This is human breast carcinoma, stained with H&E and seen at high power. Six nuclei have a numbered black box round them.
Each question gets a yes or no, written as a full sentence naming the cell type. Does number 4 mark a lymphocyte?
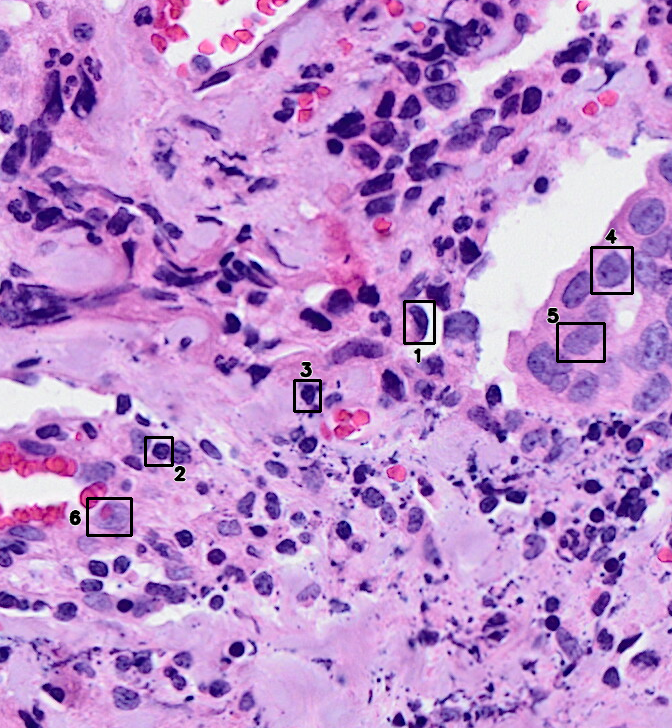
No, the cell given number 4 is a carcinoma cell, not a lymphocyte.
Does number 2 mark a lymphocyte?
Yes, the cell numbered 2 in this tissue is a lymphocyte.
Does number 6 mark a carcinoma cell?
No, cell 6 is an endothelial cell; it is not a carcinoma cell.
